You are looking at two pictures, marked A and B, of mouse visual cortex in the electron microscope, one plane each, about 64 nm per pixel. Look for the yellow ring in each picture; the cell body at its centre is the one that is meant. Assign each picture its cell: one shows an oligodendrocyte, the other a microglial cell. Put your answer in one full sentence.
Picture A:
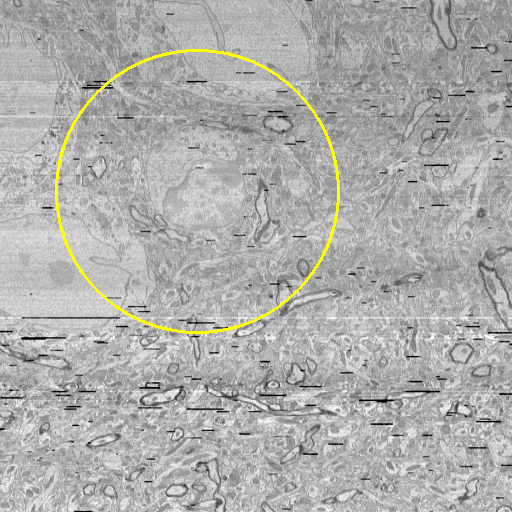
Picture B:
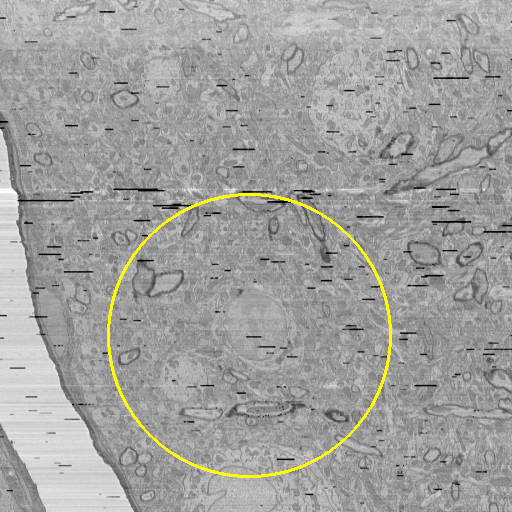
In picture A the cell is an oligodendrocyte; in picture B, a microglial cell.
